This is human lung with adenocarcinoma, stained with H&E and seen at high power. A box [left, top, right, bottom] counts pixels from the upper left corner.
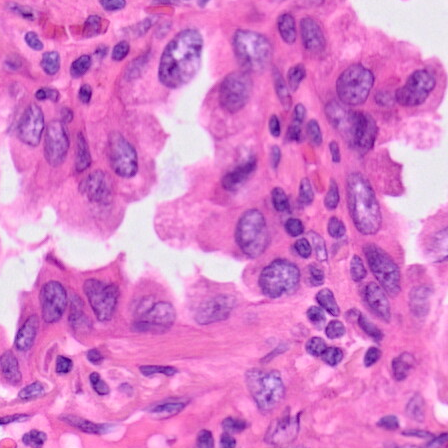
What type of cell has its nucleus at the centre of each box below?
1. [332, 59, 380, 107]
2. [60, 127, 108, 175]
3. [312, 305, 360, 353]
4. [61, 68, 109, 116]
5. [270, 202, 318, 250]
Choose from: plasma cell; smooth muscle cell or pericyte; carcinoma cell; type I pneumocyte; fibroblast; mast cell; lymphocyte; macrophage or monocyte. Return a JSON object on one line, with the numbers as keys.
{"1": "carcinoma cell", "2": "carcinoma cell", "3": "lymphocyte", "4": "lymphocyte", "5": "lymphocyte"}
